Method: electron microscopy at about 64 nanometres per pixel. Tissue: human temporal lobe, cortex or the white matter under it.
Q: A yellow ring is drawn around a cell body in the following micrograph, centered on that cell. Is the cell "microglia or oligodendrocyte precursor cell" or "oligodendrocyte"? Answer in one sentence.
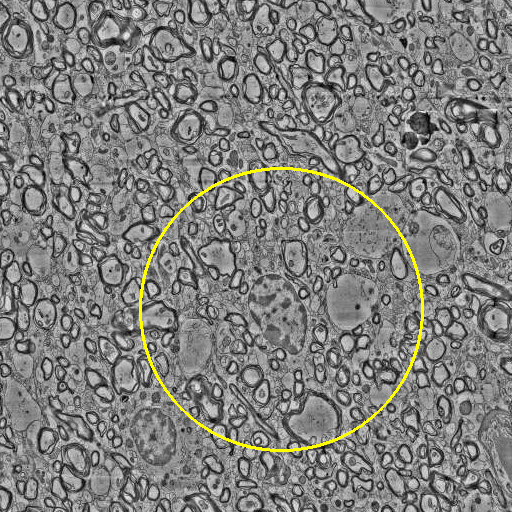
The cell in the center of the ring is a microglial cell or oligodendrocyte precursor cell.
